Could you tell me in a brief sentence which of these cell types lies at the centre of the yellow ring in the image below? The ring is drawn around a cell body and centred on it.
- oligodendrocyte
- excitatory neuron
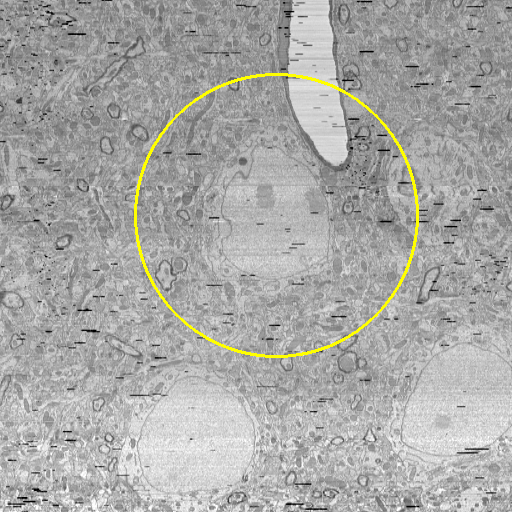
The cell centred in the ring is an excitatory neuron.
